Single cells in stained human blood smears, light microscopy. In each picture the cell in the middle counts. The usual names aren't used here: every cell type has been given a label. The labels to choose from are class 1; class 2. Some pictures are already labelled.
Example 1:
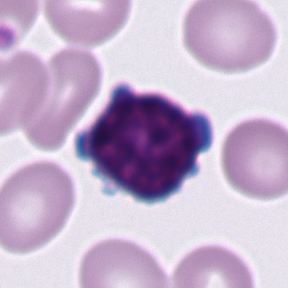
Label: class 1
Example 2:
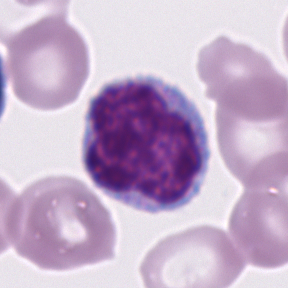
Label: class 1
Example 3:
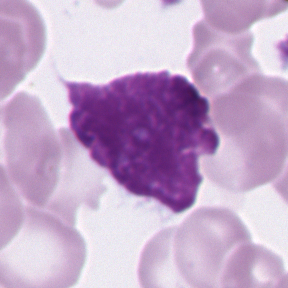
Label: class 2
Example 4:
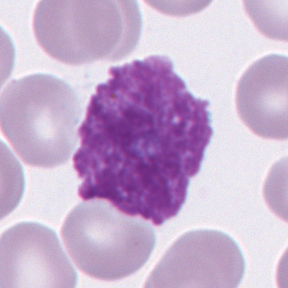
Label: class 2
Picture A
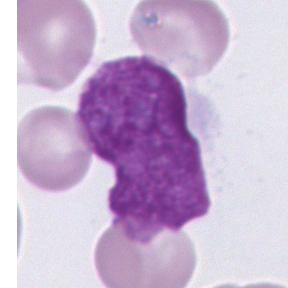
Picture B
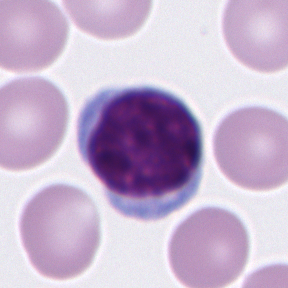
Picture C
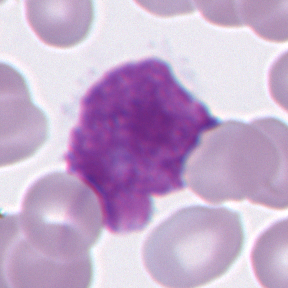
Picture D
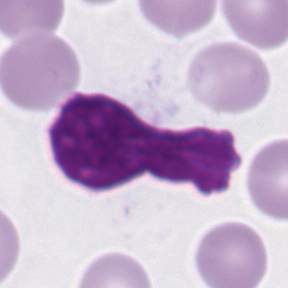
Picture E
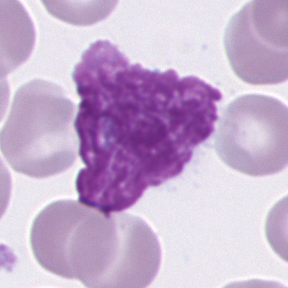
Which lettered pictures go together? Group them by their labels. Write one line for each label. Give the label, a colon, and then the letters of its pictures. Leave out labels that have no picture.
class 1: B
class 2: A, C, D, E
